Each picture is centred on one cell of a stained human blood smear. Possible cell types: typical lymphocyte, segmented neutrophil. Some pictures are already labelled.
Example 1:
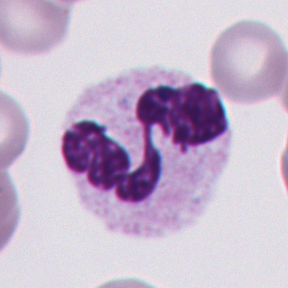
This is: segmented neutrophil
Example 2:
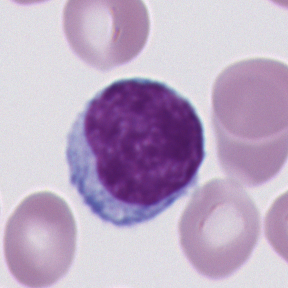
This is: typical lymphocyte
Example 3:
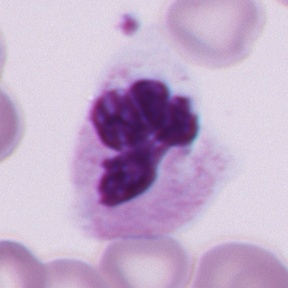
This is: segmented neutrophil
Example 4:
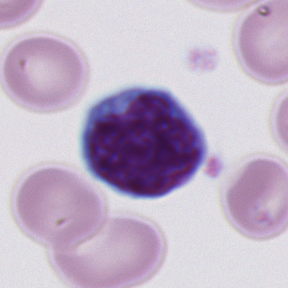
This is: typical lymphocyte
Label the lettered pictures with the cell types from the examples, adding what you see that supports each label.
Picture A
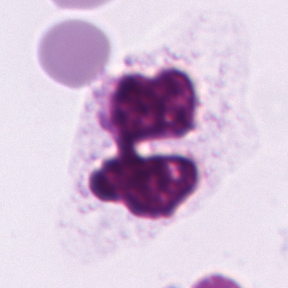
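segmented neutrophil. Evidence: The cytoplasm is abundant and pale pinkish-lilac.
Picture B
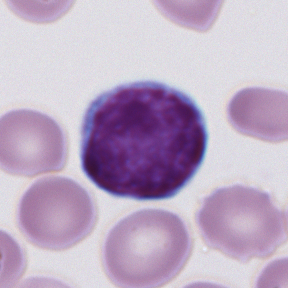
typical lymphocyte. Evidence: The cytoplasm forms only a thin rim around the nucleus.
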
